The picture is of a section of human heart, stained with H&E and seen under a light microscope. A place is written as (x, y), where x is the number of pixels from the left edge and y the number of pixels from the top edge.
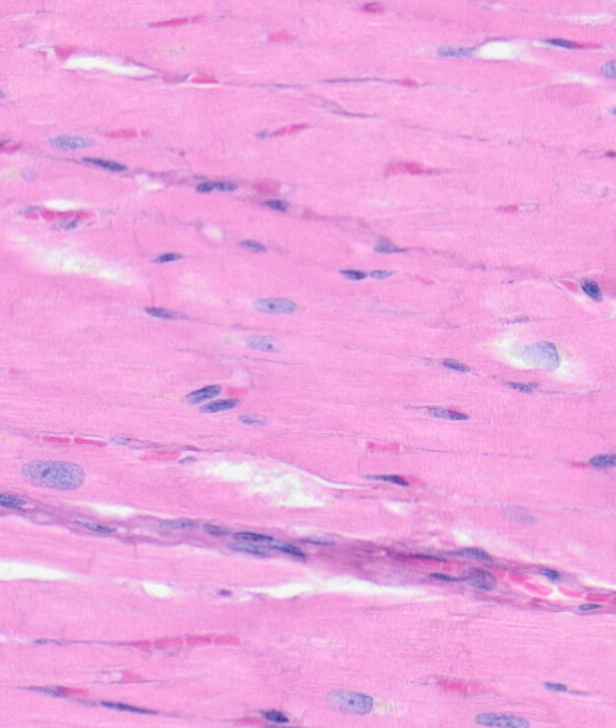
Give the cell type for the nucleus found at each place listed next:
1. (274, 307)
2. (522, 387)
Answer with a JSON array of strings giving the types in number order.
["cardiomyocyte", "endothelial cell"]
